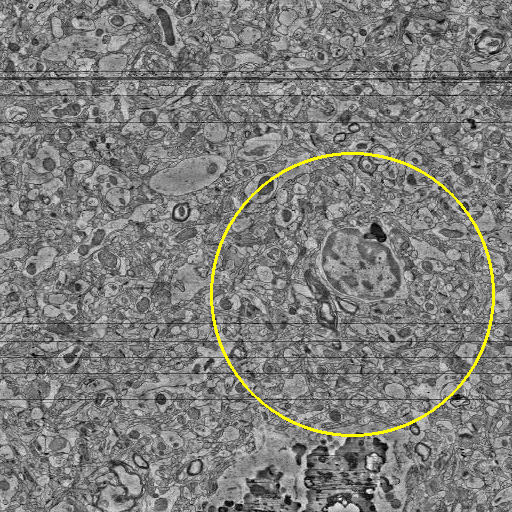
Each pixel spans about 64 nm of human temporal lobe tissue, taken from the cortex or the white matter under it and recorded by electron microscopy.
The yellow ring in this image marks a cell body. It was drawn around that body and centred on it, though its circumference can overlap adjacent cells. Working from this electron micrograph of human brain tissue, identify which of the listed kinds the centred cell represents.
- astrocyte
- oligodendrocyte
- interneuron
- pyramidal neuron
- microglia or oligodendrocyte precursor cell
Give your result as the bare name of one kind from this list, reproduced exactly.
microglia or oligodendrocyte precursor cell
